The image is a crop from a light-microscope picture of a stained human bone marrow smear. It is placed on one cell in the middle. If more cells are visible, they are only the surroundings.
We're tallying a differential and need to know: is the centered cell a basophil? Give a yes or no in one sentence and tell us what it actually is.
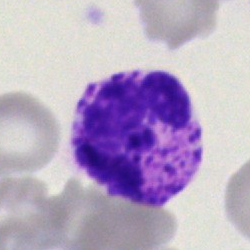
Yes, at the centre of the crop lies a basophil.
